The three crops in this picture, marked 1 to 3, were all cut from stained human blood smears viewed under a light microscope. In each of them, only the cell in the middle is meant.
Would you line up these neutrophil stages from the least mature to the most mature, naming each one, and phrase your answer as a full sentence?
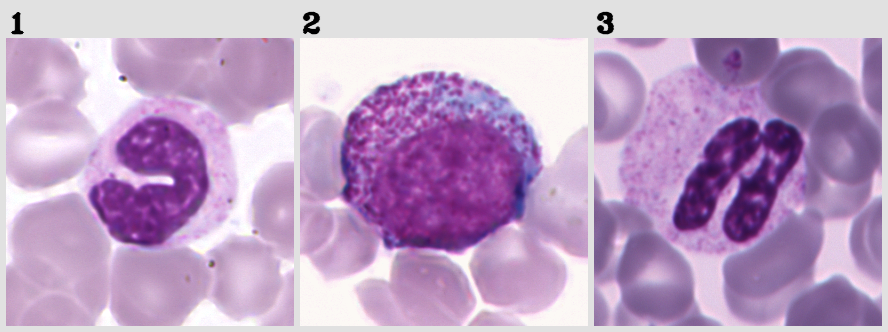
The order, going from least to most mature, is crop 2 (a promyelocyte), crop 1 (a band neutrophil) and crop 3 (a segmented neutrophil).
